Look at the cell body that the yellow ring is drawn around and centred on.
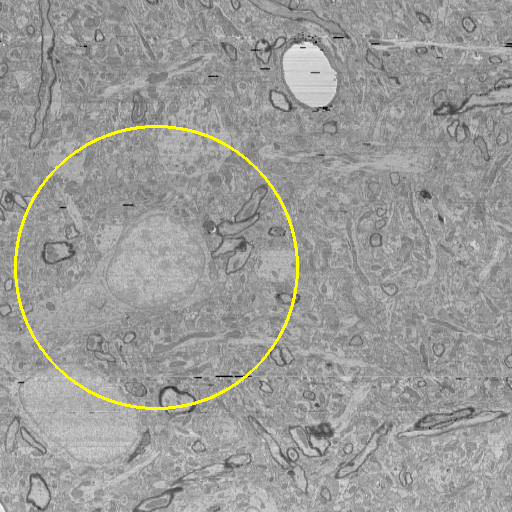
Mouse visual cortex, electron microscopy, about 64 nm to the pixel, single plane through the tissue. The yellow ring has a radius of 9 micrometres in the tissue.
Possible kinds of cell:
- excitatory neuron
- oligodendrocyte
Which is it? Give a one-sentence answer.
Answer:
The centred cell body is that of an oligodendrocyte.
